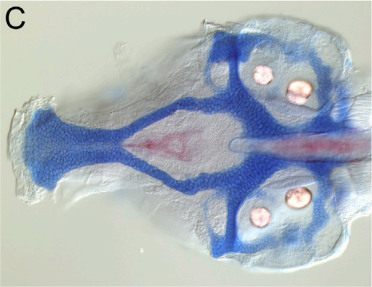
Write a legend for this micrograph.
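At the front lies a broad blue plate with a fine polygonal texture of closely packed cells. From it two blue rods run backward and diverge, enclosing an open space with a faint pinkish area between them. Posteriorly the cartilage widens into paired lateral frameworks, each holding round pinkish-white bodies.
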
